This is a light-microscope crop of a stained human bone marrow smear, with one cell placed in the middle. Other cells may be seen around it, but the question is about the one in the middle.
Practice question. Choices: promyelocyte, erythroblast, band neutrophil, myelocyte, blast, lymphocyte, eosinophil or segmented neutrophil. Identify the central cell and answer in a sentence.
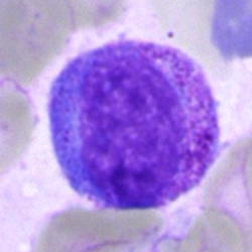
The crop's centre is taken up by a myelocyte.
